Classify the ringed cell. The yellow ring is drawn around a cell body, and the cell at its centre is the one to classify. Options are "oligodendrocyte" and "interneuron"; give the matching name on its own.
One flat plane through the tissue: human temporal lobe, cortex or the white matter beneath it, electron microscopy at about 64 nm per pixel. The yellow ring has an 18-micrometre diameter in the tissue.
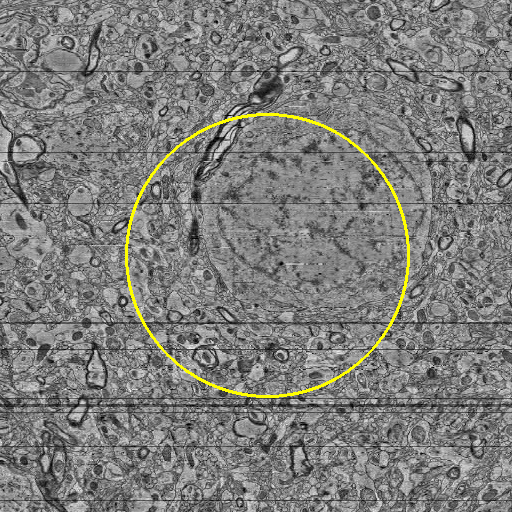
interneuron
